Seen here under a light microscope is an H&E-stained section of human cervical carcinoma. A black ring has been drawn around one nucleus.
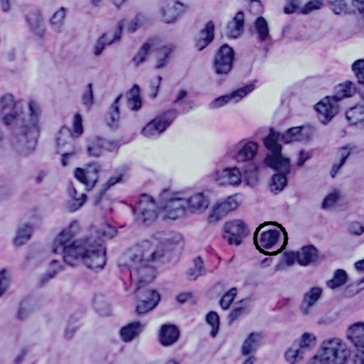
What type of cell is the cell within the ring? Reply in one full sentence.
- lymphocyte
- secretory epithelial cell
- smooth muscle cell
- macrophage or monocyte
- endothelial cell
In this tissue section, the cell within the ring is to be classed as a lymphocyte.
